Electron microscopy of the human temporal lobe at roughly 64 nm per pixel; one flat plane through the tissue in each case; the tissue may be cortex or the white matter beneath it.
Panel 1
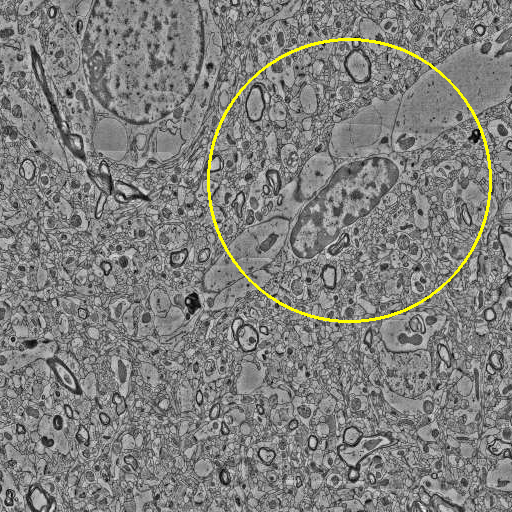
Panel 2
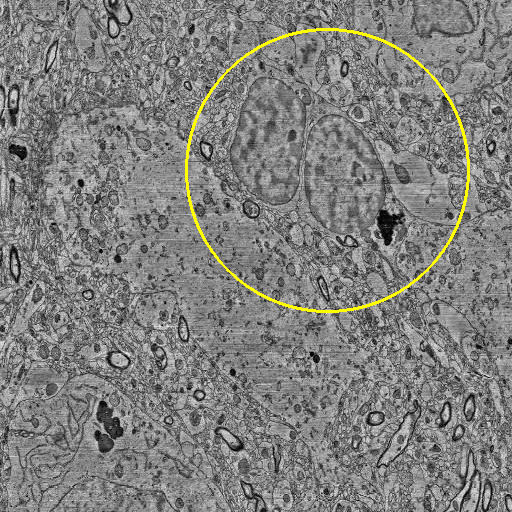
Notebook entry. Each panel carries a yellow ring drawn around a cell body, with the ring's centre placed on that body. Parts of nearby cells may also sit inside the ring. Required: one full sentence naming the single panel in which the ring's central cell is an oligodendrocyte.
Panel 2 is the single one with the sought cell at its ring's centre.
